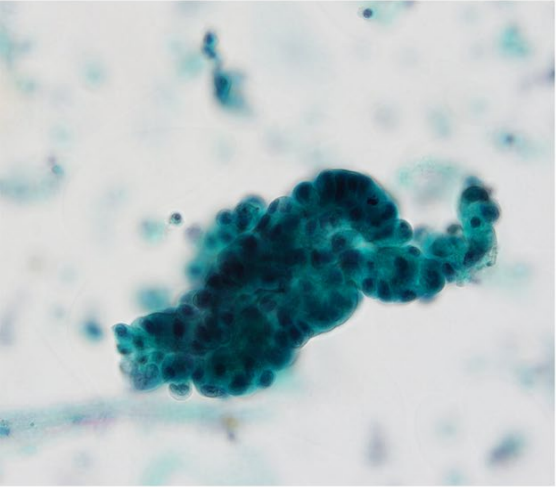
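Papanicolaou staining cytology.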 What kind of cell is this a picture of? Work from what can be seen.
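Nuclei are enlarged, dark and overlapping. Nuclear-to-cytoplasmic ratio is high.
Cancer cells.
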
